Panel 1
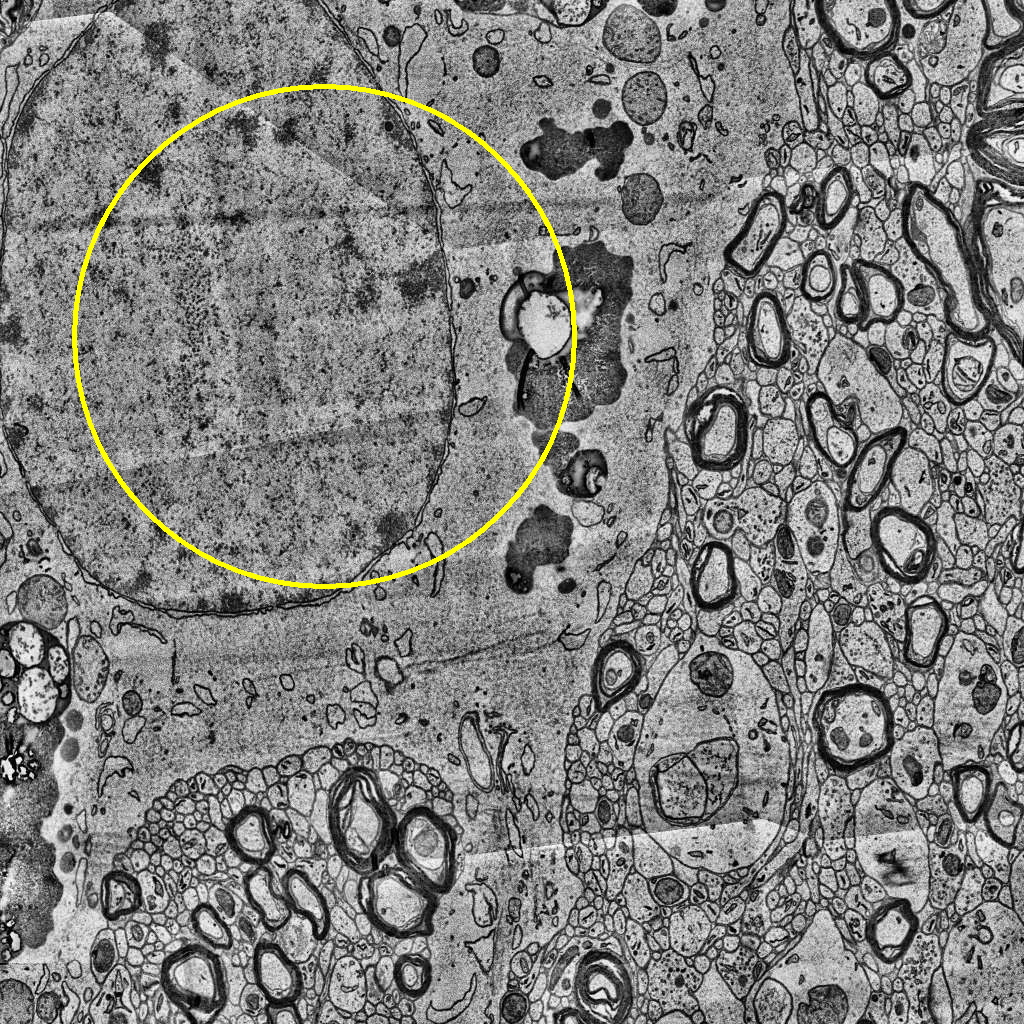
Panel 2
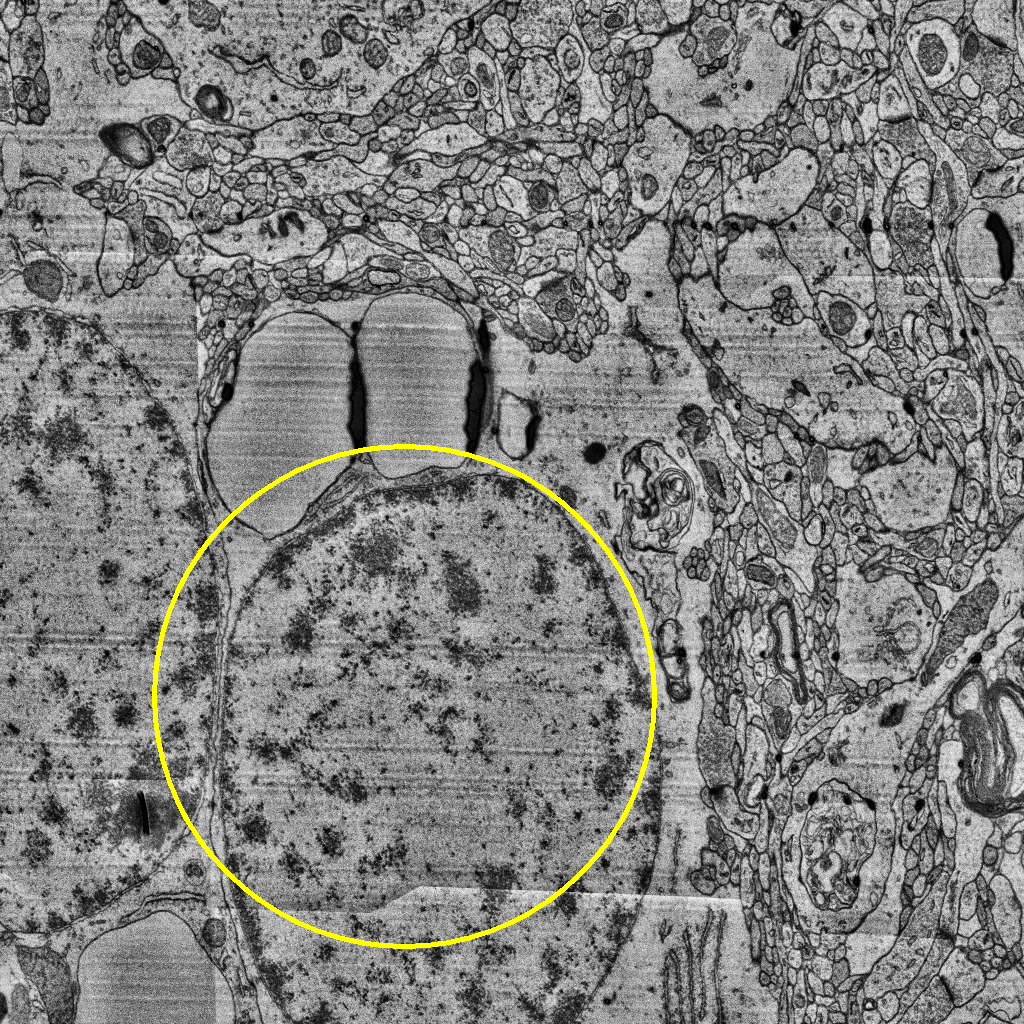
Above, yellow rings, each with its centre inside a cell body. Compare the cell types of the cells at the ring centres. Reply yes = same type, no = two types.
yes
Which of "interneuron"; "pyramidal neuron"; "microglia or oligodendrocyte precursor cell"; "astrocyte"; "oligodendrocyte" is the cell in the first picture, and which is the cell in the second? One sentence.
Both rings mark an astrocyte, one in each picture.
